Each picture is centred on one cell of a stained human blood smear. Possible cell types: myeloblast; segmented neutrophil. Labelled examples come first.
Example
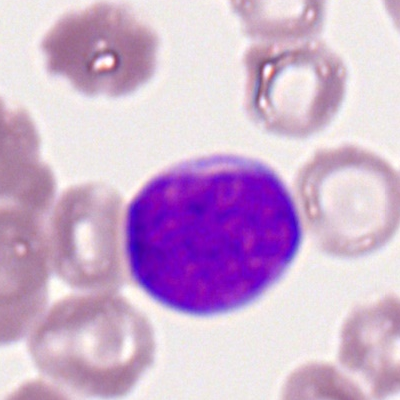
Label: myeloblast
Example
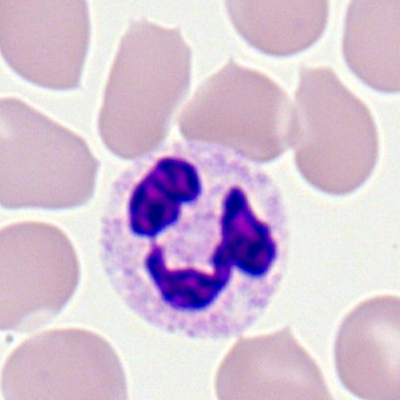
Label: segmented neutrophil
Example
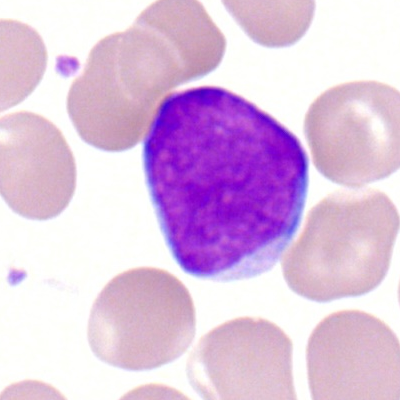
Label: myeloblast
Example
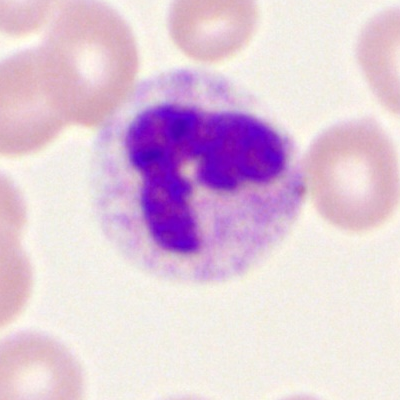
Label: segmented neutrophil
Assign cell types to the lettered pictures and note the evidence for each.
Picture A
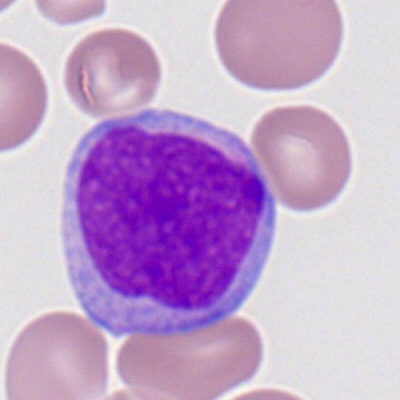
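Answer: myeloblast. The nucleus is a single unlobed mass filling most of the cell.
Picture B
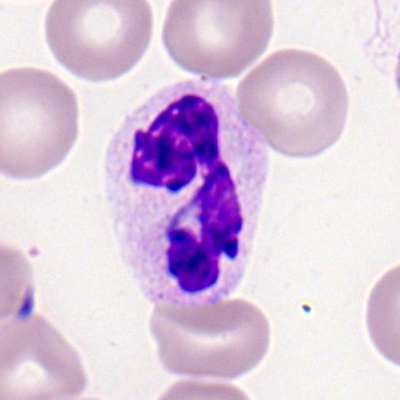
Answer: segmented neutrophil. The cytoplasm is plentiful and pale pinkish-lilac.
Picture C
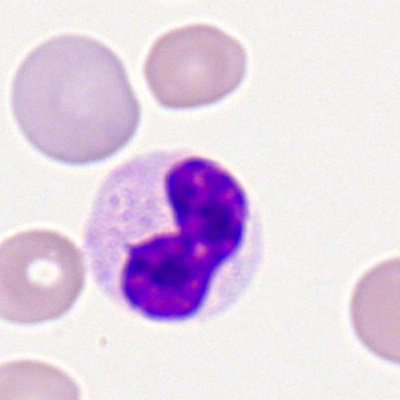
Answer: segmented neutrophil. The cytoplasm forms a wide band on the left of the nucleus.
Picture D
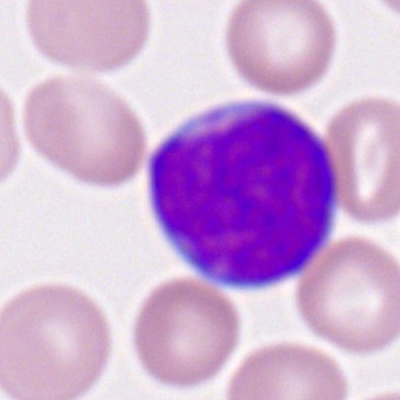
Answer: myeloblast. Only a very thin rim of cytoplasm is visible around the nucleus.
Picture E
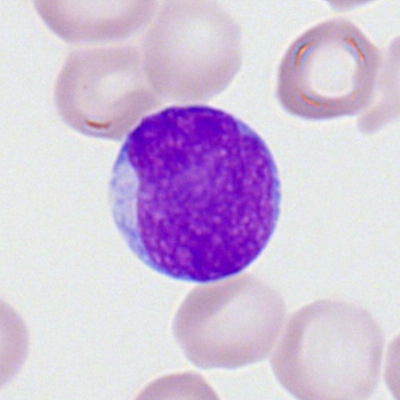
Answer: myeloblast. The cytoplasm is a scant rim that is widest on the left side.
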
